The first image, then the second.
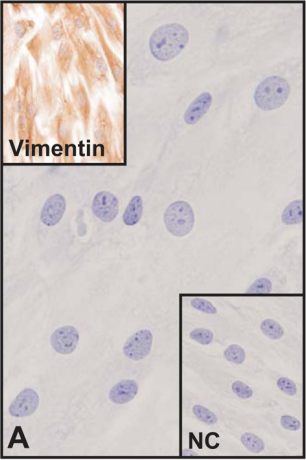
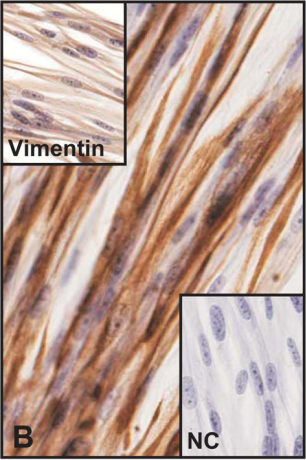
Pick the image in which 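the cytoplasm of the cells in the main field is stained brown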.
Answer: The second image.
